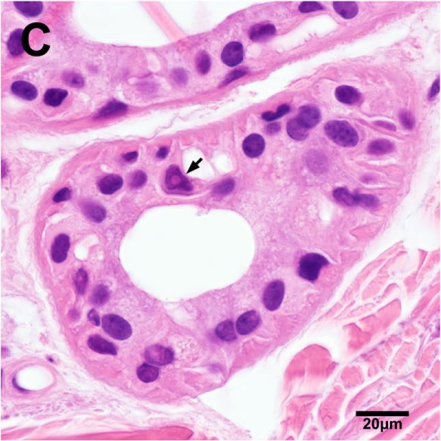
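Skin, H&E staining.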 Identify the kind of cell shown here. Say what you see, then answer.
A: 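Sweat gland cells. Cuboidal epithelial cells are arranged in a ring around a central lumen. A dense eosinophilic connective tissue surrounds the glandular tubule. Round to oval nuclei sit in pink, finely granular cytoplasm.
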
